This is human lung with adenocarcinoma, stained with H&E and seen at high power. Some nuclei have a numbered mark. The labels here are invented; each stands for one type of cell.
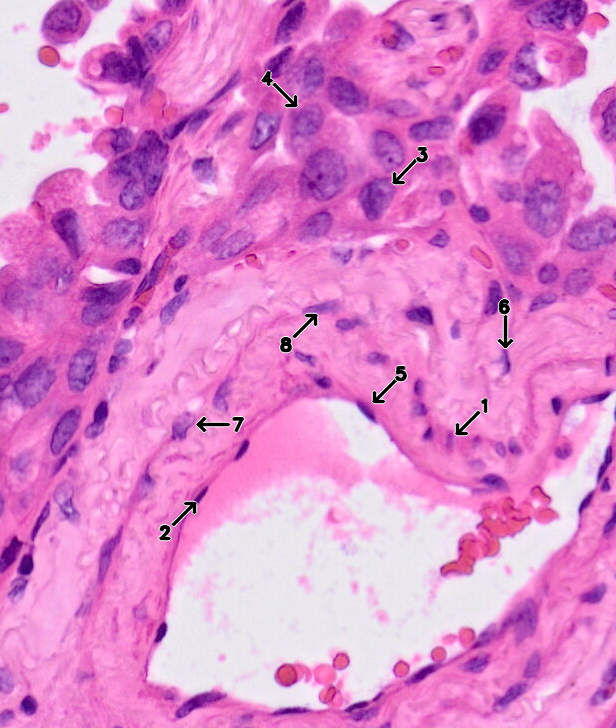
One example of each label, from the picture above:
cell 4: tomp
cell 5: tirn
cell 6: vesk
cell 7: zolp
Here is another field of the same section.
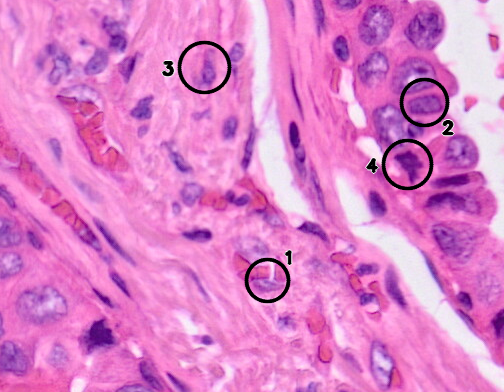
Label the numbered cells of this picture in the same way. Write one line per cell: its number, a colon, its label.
1: tirn
2: tomp
3: zolp
4: tomp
